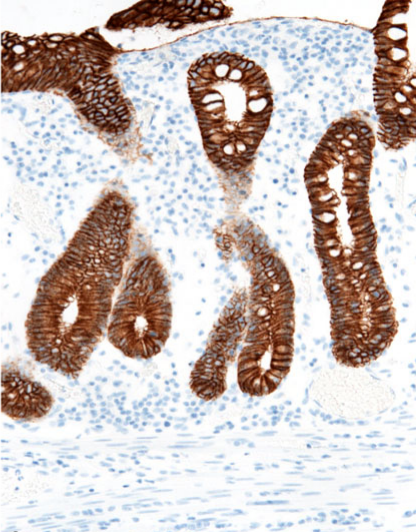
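This shows elongated colonic crypts and surface epithelium, whose columnar cells are outlined by brown stain along their cell borders, giving a honeycomb pattern. The stroma of the lamina propria around them stays unstained, showing only small blue nuclei of inflammatory and stromal cells.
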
